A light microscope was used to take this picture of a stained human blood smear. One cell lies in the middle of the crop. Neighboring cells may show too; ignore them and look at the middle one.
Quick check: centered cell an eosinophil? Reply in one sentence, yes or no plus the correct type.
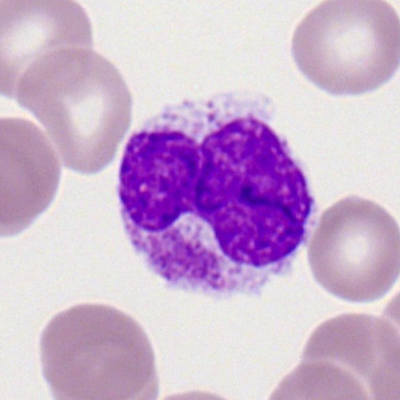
Yes, shown in the middle of the crop is an eosinophil.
